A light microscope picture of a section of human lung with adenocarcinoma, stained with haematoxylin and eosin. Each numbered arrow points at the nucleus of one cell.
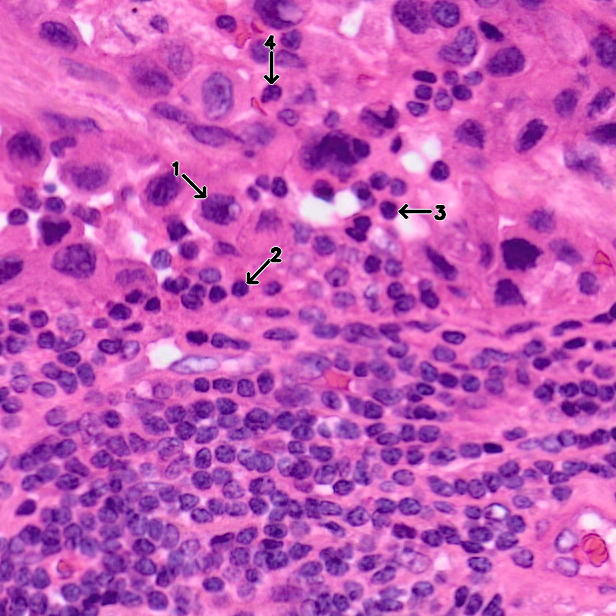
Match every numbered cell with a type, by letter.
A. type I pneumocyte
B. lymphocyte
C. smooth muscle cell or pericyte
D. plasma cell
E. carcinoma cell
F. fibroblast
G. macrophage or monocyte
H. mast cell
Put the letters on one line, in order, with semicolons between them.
E; B; B; B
